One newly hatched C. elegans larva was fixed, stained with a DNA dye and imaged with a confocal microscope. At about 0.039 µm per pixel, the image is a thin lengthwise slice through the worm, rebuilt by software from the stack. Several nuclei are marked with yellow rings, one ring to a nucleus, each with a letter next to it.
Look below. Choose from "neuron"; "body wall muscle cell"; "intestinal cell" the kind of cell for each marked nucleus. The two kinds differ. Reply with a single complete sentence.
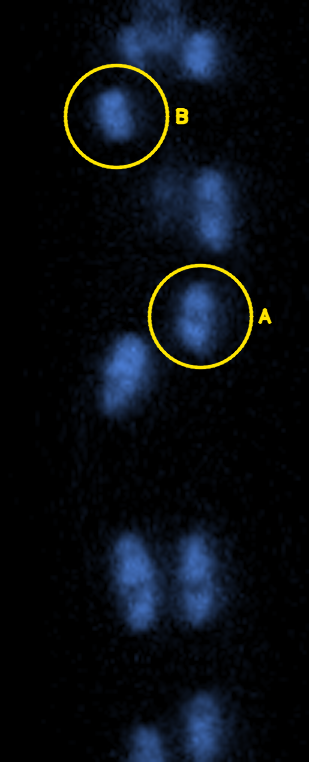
A is from a body wall muscle cell, and B is from a neuron.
